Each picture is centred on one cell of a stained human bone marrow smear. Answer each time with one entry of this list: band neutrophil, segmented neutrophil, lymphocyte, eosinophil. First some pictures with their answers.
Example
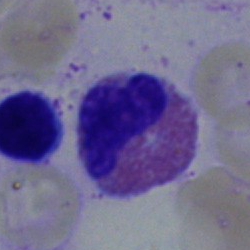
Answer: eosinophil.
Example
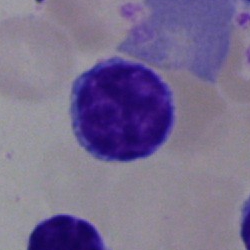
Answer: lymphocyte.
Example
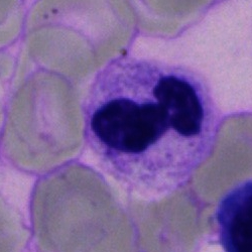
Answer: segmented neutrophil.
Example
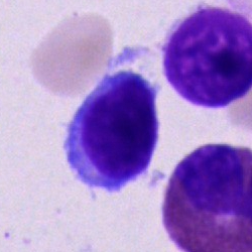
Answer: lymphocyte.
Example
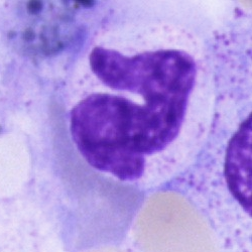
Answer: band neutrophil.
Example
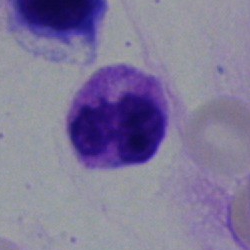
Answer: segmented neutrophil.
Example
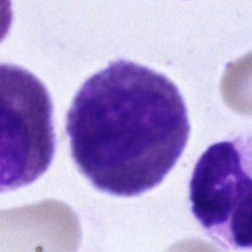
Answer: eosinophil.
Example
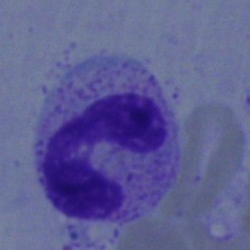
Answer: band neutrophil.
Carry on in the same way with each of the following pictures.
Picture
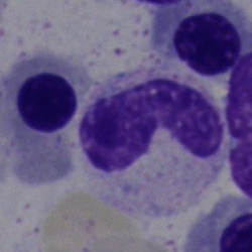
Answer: band neutrophil.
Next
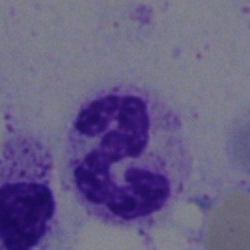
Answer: segmented neutrophil.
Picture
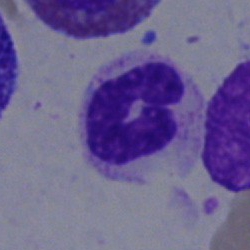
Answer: segmented neutrophil.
